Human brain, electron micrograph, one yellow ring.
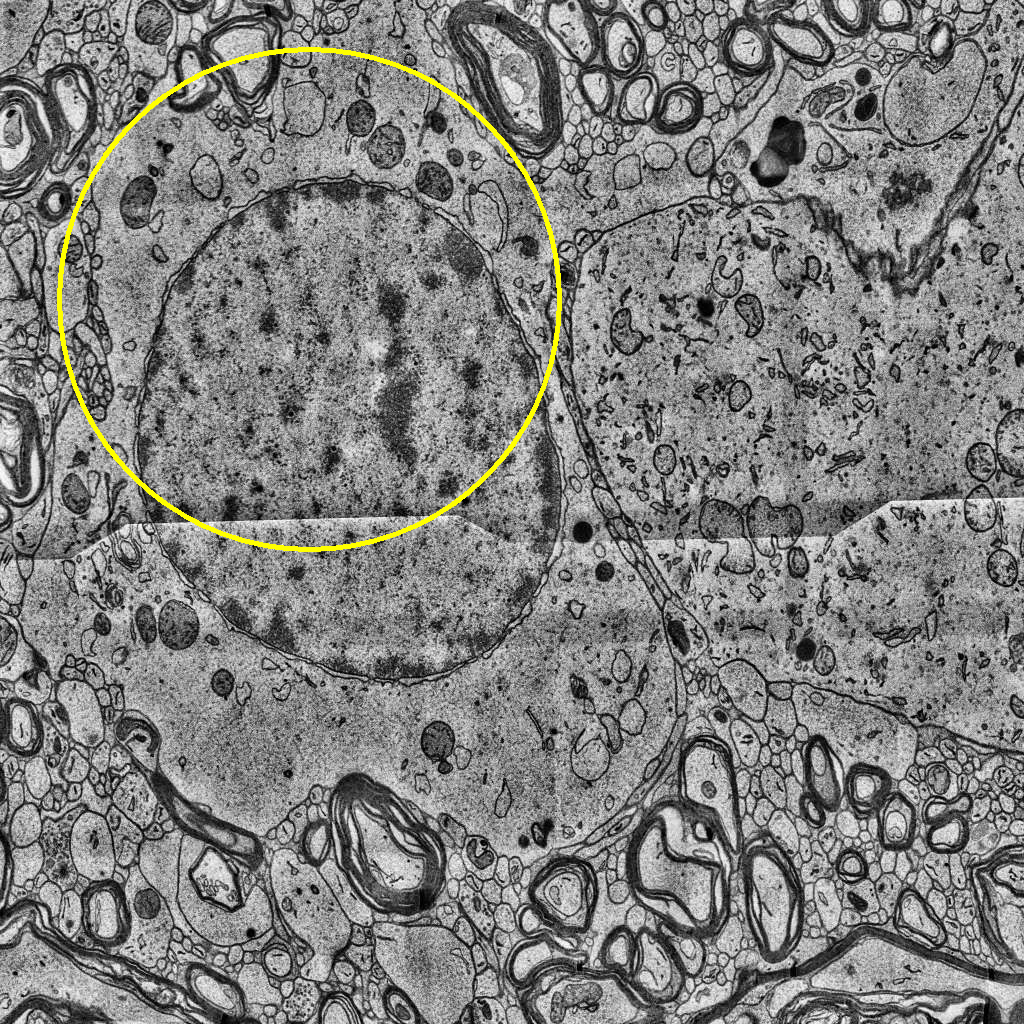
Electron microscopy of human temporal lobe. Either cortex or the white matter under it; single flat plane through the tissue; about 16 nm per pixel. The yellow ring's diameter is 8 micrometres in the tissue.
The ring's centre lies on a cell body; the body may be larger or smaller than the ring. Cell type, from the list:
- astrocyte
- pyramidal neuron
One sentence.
The yellow ring's centre lies on an astrocyte.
